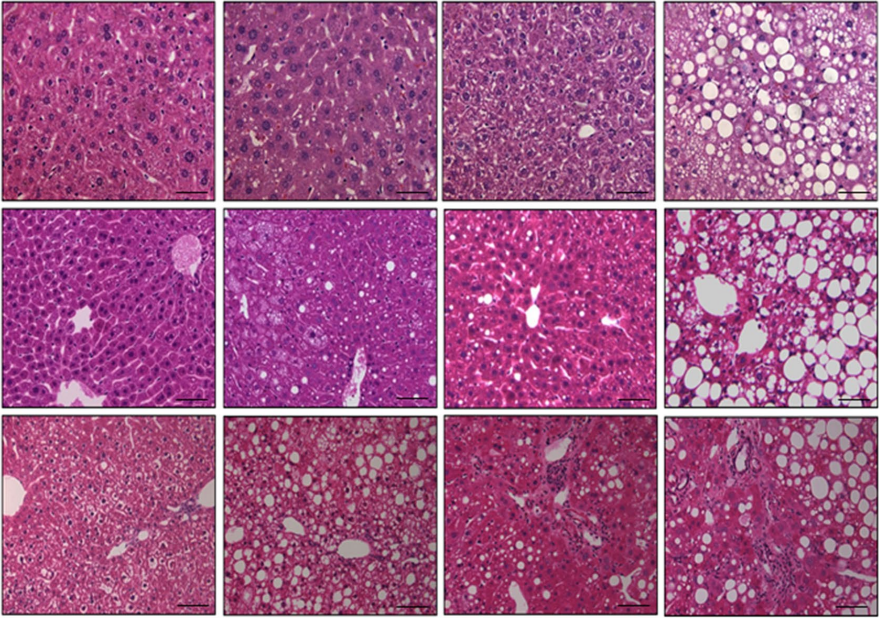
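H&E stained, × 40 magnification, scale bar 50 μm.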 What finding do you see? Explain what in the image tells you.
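Many round, clear, empty-looking vacuoles inside the tissue in several of the images. Vacuoles range from small to large and crowd out the pink cytoplasm. On this evidence: Steatosis.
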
